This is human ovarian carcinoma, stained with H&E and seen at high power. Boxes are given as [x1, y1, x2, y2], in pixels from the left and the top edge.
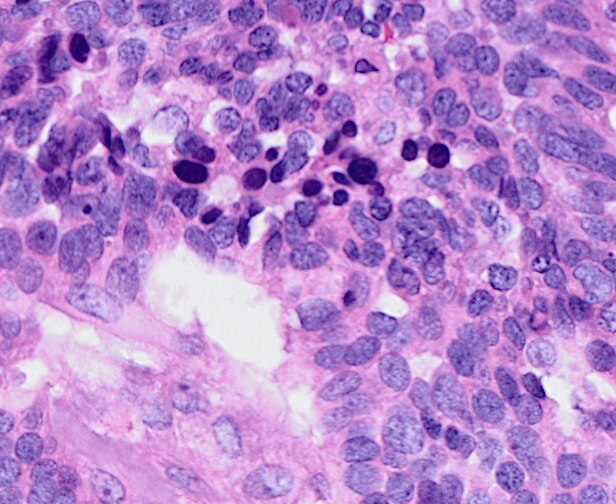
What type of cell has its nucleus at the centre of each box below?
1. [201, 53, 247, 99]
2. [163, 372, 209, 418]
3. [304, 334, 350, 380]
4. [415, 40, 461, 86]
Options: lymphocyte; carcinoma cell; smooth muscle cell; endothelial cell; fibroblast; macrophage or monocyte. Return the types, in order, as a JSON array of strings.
["carcinoma cell", "fibroblast", "carcinoma cell", "carcinoma cell"]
